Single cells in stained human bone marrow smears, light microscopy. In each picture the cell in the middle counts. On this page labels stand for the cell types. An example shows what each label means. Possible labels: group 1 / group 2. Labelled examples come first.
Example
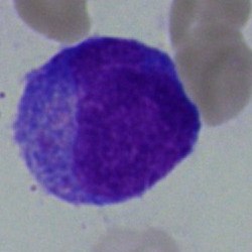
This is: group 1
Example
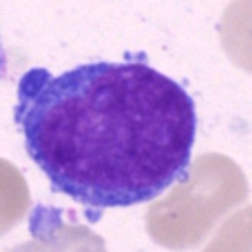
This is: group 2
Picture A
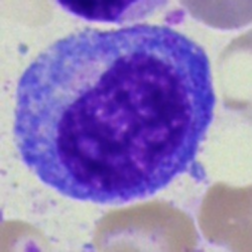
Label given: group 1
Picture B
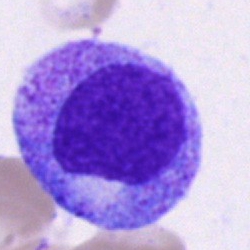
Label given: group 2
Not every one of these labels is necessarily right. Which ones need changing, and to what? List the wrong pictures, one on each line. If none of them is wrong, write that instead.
B: change group 2 to group 1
